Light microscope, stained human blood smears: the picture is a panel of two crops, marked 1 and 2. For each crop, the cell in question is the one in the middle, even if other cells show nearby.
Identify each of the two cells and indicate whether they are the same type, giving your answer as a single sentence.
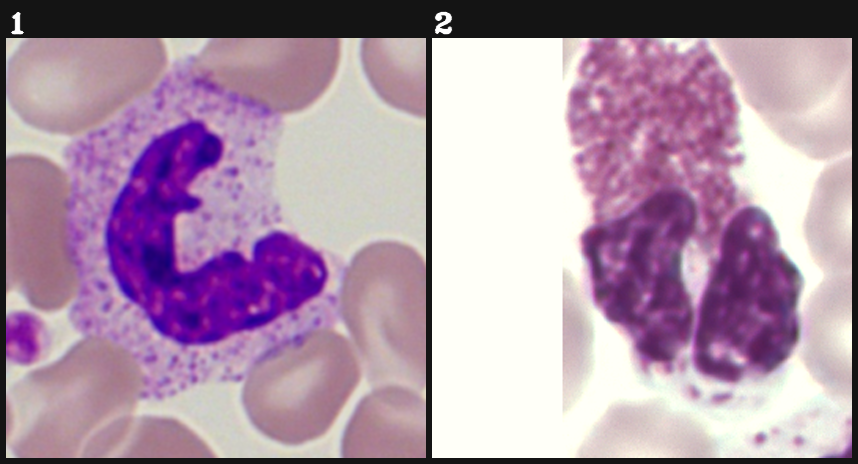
No, in fact crop 1 shows a band neutrophil, and crop 2 shows an eosinophil.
